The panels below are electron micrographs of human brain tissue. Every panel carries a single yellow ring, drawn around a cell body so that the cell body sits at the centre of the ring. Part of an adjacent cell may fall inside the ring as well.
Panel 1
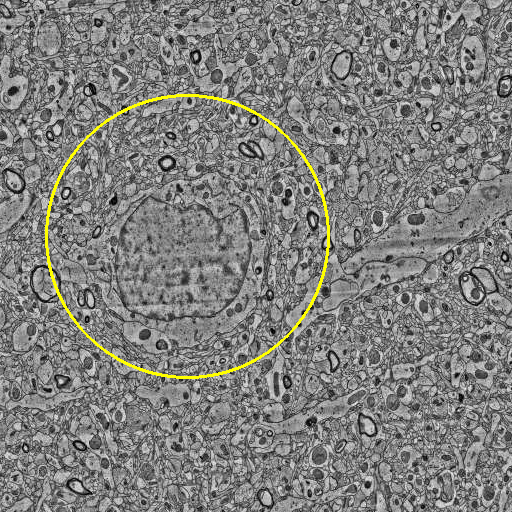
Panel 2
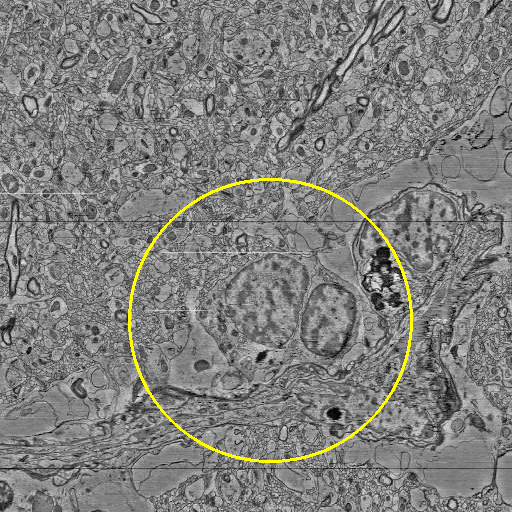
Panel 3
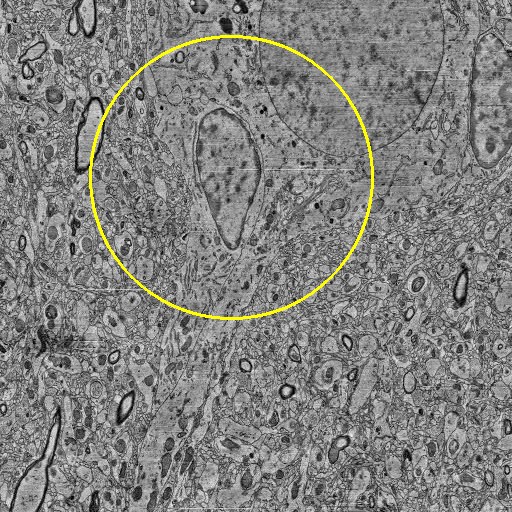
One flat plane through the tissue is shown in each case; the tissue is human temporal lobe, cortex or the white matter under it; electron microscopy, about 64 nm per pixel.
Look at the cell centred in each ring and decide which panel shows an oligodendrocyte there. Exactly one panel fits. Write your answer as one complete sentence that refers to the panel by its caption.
Panel 2 has it at the centre of its ring.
